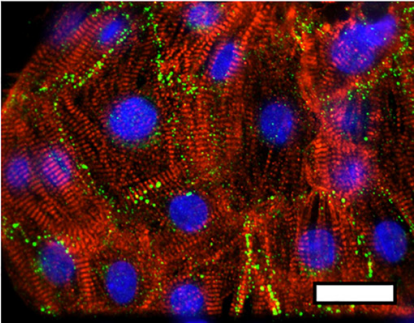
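These are cultured heart muscle cells, cardiomyocytes, packed closely together in a sheet. The red fibrils inside them show fine regular cross-striations, the banding of sarcomeres, and run in bundles that curve and sweep across the cells in different directions. Each cell holds a large oval blue nucleus, and the nuclei lie scattered between the striated bundles. Small green dots are sprinkled over the sheet, many of them lined up in rows along the borders where neighbouring cells meet.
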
